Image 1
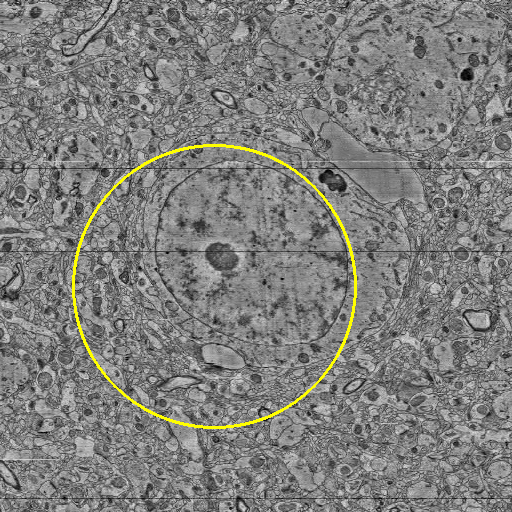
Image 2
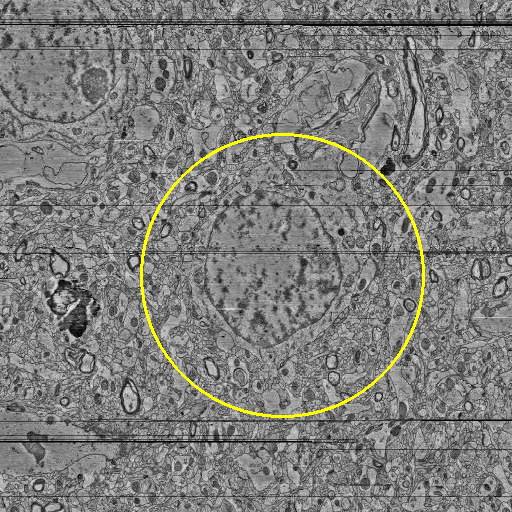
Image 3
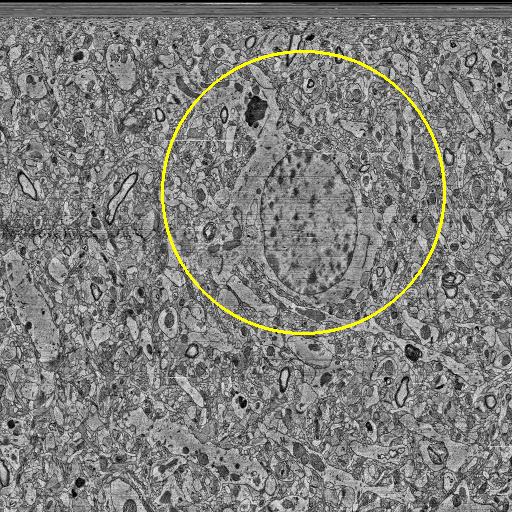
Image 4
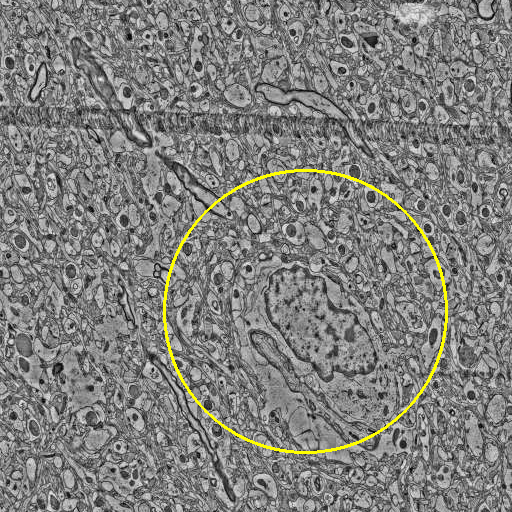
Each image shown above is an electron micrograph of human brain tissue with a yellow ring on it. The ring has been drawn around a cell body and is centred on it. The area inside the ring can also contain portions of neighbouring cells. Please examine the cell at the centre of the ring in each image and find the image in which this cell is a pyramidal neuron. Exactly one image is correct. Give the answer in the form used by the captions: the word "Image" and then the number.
Image 1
